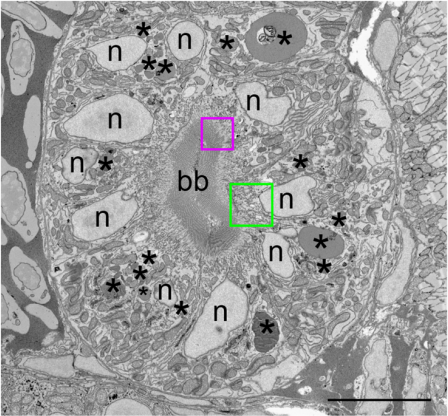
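A transverse section of a proximal tubule shows epithelial cells arranged around a central lumen lined by a dense brush border of microvilli. Pale oval nuclei sit in the cell bodies among many mitochondria, and dark round lysosomes of varying size are scattered through the cytoplasm. Clear vacuoles beneath the brush border are few and small.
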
